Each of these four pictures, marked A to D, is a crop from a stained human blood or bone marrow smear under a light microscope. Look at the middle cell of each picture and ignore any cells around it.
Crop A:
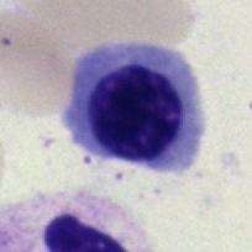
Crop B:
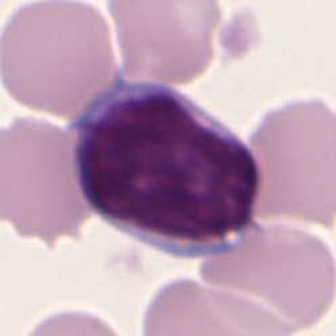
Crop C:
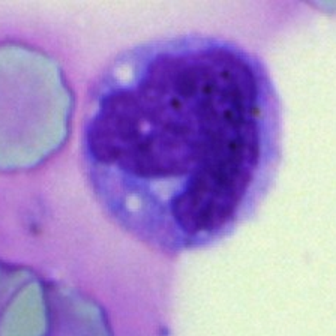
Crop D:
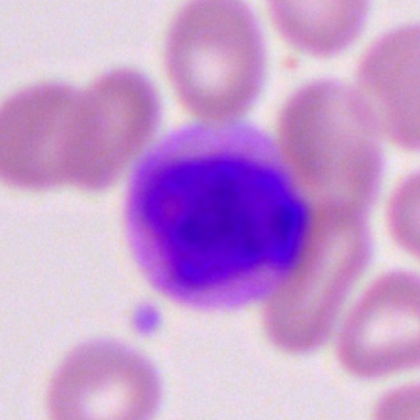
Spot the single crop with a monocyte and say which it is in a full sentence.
As for which crop shows a monocyte, it is crop C.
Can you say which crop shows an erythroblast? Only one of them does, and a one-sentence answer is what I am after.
Crop A is the one in this set that shows an erythroblast.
